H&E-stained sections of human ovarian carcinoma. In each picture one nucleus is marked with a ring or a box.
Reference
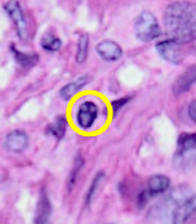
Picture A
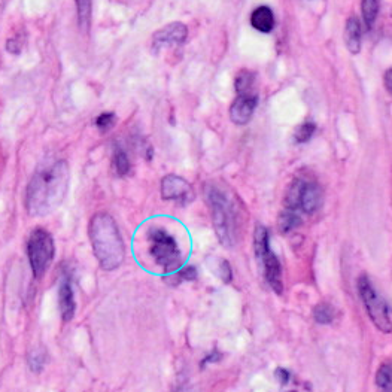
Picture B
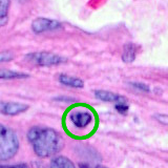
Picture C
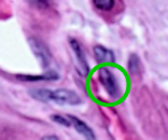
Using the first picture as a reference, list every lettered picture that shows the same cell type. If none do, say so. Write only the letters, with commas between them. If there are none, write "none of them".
A, B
